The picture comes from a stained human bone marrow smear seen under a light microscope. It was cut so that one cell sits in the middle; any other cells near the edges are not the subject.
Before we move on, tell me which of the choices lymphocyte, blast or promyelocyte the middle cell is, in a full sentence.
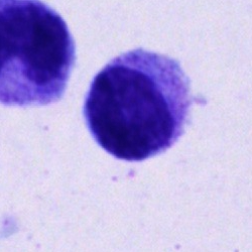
Regarding the central cell, it is a lymphocyte.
